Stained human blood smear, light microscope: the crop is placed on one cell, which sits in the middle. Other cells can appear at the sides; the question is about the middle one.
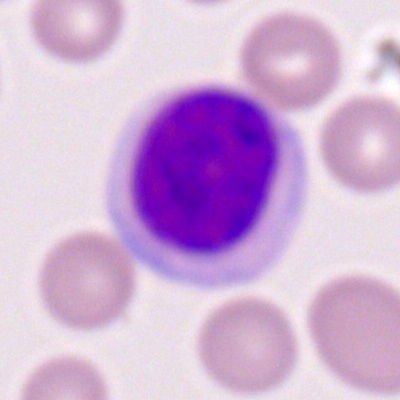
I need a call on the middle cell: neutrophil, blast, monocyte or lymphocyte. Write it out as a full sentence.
The cell centered in this field of view is a lymphocyte.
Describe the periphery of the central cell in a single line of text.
Nothing juts out from the margin, which is smooth throughout.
